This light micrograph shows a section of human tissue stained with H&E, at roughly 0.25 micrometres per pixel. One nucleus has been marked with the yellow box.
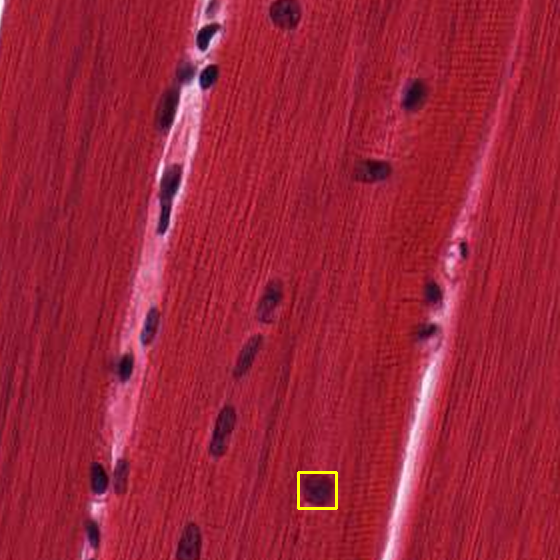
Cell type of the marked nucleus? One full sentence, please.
The nucleus marked in this picture belongs to a skeletal muscle fibre.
